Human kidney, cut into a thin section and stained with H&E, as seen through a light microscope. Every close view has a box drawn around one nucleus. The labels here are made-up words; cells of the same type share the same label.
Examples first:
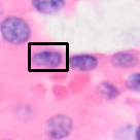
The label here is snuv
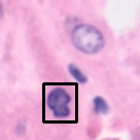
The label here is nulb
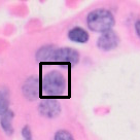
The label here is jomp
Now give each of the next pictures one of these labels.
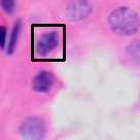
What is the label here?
snuv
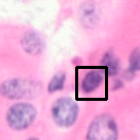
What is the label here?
jomp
